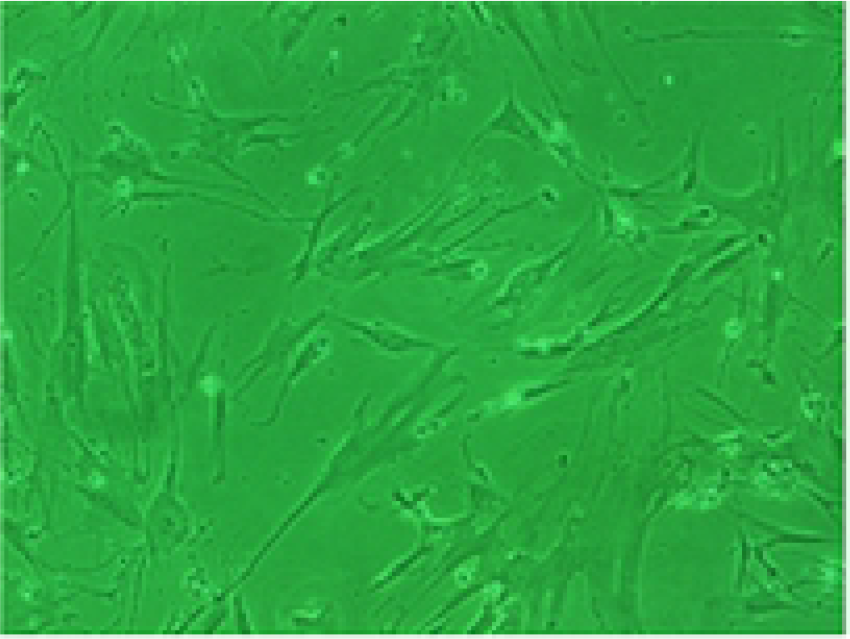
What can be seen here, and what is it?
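The culture shows flat, elongated spindle-shaped cells with long thin tapering processes, lying loosely spaced and in places running in roughly parallel streams. Only an occasional rounded bright cell is seen, and the spread cells look intact. These are fibroblasts that keep their ordinary spread spindle form.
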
